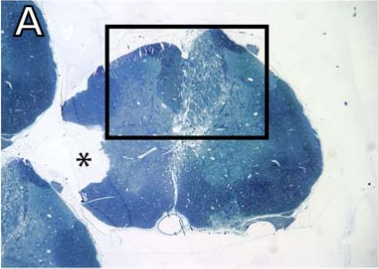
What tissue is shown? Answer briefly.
spinal cord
